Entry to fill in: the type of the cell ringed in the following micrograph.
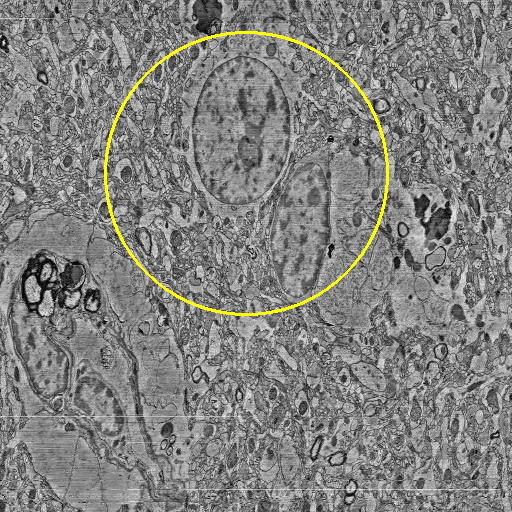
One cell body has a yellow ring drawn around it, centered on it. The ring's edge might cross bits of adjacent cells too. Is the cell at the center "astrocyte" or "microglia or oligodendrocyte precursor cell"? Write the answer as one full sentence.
This entry names an astrocyte as the cell whose body lies at the ring's center.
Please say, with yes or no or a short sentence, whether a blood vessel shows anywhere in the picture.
Yes, there is a blood vessel.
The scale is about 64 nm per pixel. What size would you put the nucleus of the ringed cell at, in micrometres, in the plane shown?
In this plane the nucleus is clearly longer than it is wide: roughly 10 by 6 micrometres.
